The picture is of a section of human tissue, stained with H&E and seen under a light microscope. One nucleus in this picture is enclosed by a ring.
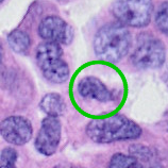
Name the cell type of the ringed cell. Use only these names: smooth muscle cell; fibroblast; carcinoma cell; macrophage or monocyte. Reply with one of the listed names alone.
macrophage or monocyte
